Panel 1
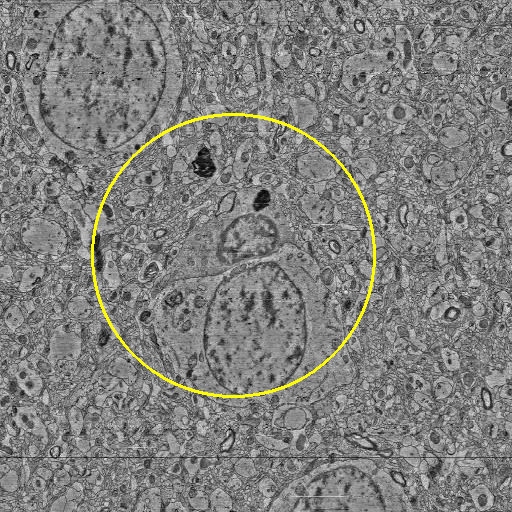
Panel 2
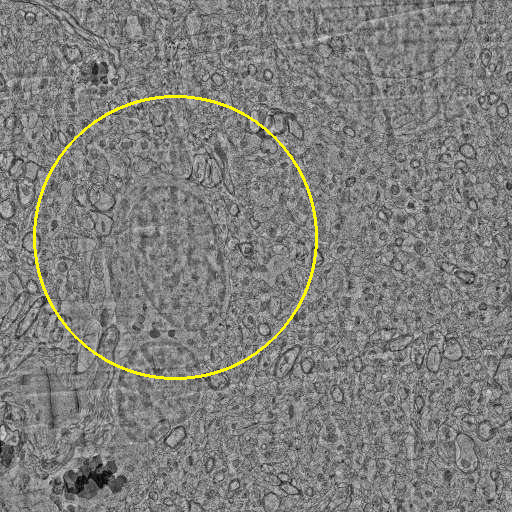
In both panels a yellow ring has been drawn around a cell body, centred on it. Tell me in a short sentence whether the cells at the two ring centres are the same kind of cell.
Yes, they are the same kind of cell.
